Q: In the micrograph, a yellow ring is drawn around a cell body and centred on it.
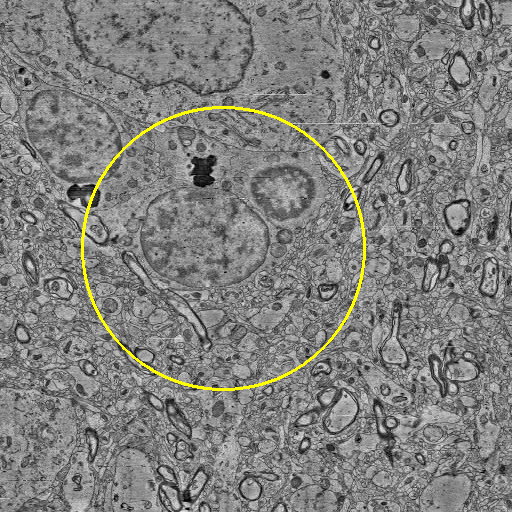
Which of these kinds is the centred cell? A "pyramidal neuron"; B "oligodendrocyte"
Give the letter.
B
